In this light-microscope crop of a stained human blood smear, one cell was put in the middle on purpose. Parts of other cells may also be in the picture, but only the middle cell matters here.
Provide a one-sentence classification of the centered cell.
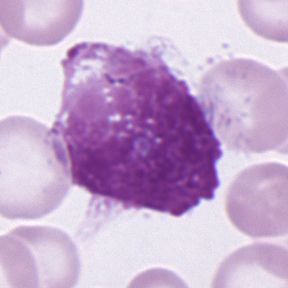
Here the cell in the middle is a smudge cell.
